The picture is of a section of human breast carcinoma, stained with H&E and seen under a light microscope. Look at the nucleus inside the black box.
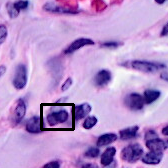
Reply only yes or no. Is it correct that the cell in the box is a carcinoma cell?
no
